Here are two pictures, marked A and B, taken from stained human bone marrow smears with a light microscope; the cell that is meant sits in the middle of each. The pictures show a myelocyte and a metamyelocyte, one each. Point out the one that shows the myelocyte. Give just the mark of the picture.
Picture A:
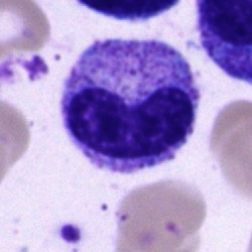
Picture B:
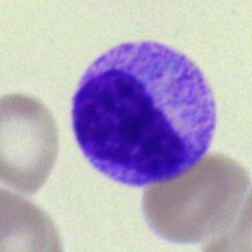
B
